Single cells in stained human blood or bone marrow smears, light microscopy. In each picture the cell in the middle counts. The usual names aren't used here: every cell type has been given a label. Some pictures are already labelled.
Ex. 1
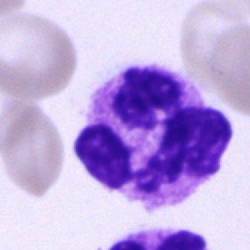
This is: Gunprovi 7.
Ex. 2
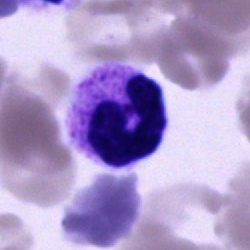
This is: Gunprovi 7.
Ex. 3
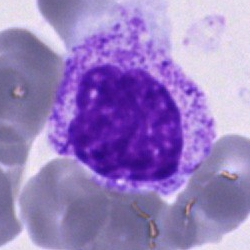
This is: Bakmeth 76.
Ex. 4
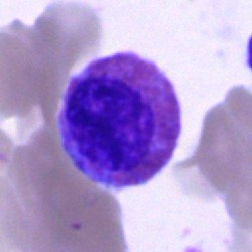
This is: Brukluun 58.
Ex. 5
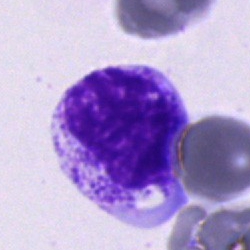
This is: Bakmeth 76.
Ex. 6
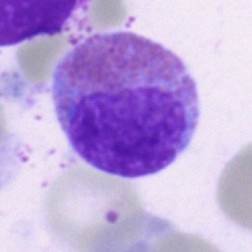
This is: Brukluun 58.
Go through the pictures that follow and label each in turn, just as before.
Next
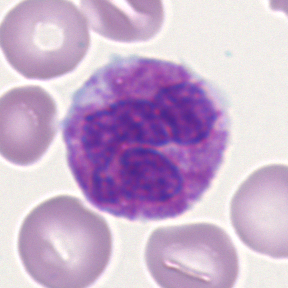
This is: Brukluun 58.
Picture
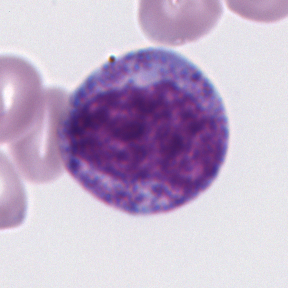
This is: Bakmeth 76.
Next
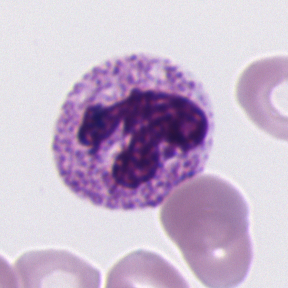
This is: Gunprovi 7.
